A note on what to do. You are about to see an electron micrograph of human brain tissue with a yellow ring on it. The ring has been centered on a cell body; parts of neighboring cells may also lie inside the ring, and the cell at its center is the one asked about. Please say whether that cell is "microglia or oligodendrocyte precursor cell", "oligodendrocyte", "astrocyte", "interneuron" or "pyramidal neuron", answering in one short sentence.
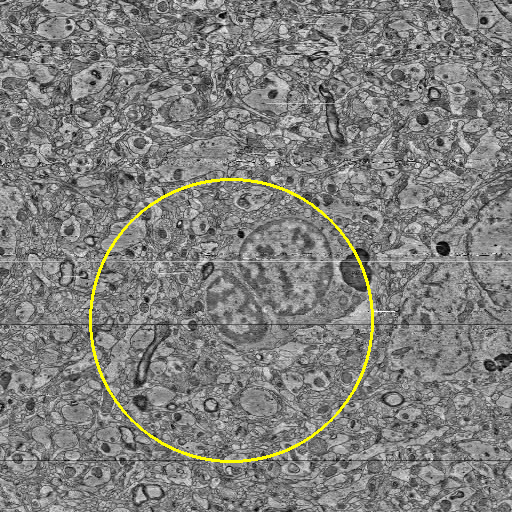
The yellow ring sits on an oligodendrocyte.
